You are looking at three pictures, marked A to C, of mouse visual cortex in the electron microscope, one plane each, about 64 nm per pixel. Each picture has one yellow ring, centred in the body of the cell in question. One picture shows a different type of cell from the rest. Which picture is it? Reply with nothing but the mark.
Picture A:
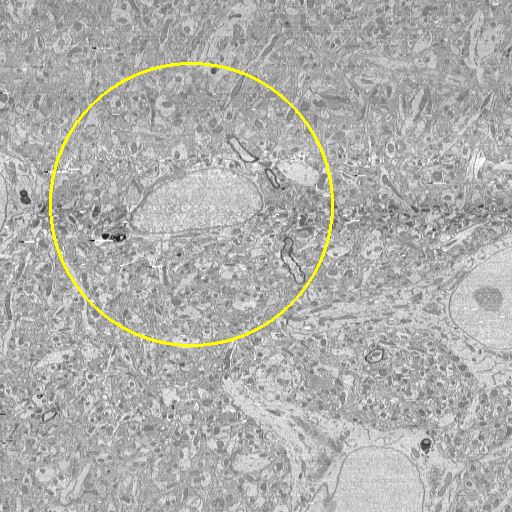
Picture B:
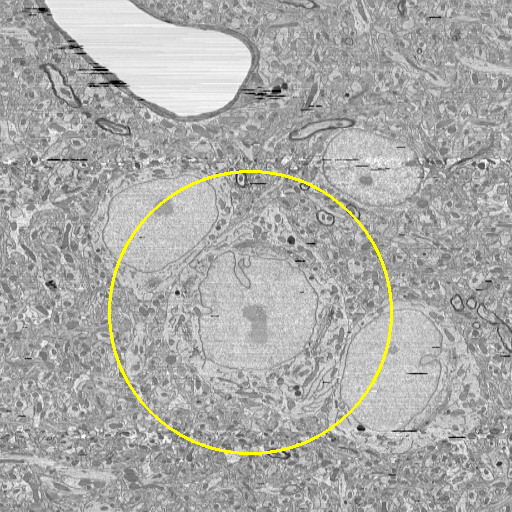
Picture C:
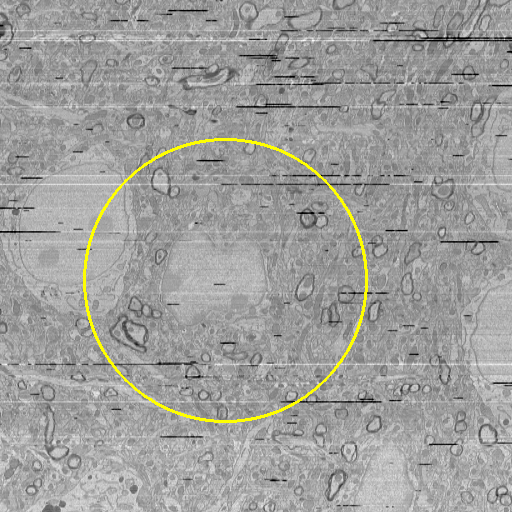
B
